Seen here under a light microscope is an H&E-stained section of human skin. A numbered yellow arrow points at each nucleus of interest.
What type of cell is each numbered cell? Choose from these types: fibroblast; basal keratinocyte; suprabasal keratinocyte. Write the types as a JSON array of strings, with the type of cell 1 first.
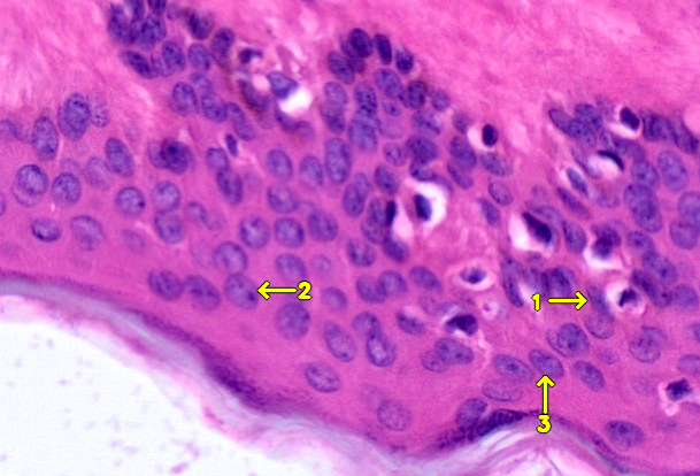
["basal keratinocyte", "suprabasal keratinocyte", "suprabasal keratinocyte"]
